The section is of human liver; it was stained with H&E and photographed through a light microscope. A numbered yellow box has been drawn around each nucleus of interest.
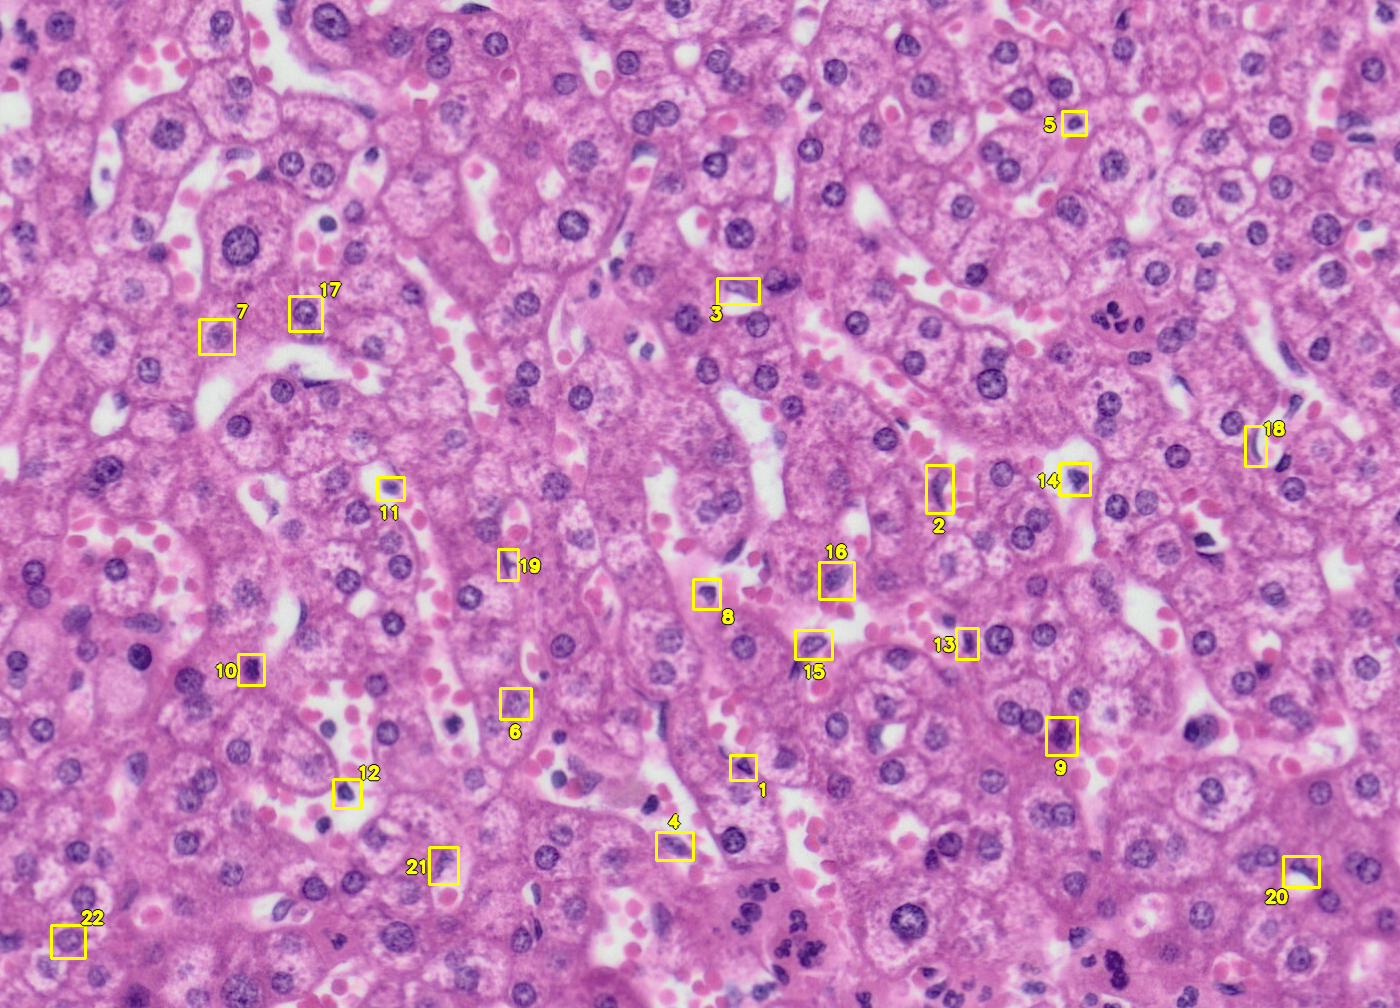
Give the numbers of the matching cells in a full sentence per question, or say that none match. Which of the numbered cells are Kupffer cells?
Cells 2, 3, 4 and 15 are recognised here as Kupffer cells.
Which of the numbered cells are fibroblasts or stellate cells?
The cells the numbers 1, 9, 10, 13 and 16 point to are fibroblasts or stellate cells.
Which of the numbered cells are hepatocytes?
Cells that were given the numbers 6, 7, 17 and 22 are hepatocytes.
